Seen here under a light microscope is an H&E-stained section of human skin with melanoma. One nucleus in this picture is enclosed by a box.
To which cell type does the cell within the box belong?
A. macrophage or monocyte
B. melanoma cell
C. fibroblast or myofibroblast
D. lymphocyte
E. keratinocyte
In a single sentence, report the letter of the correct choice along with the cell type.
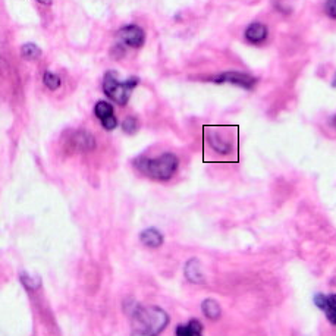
Option A is correct here; the cell within the box is a macrophage or monocyte.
